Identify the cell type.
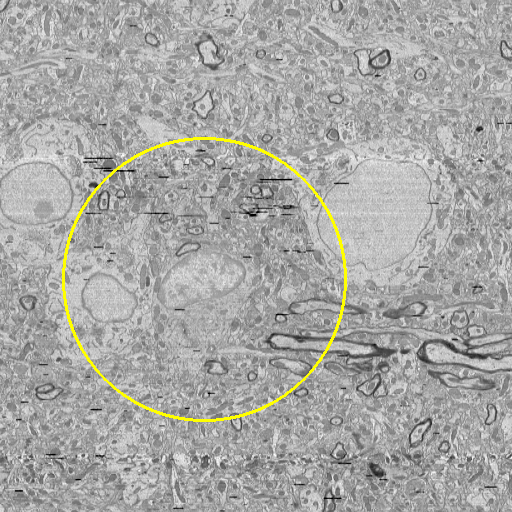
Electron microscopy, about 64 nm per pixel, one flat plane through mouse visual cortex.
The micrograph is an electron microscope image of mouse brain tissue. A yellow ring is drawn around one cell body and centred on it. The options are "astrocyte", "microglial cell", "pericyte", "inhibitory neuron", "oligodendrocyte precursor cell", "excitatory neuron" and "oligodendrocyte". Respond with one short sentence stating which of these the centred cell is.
The cell body in the ring belongs to an oligodendrocyte.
